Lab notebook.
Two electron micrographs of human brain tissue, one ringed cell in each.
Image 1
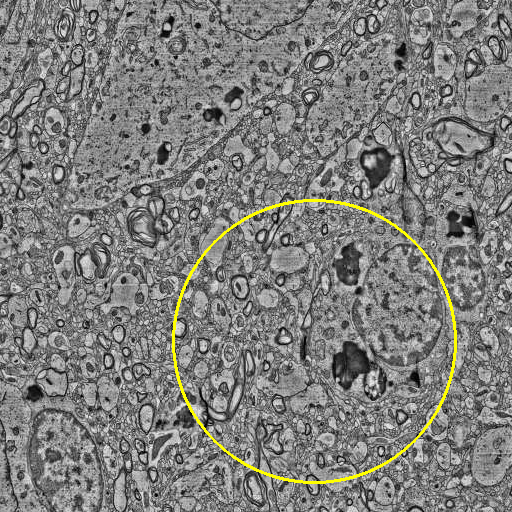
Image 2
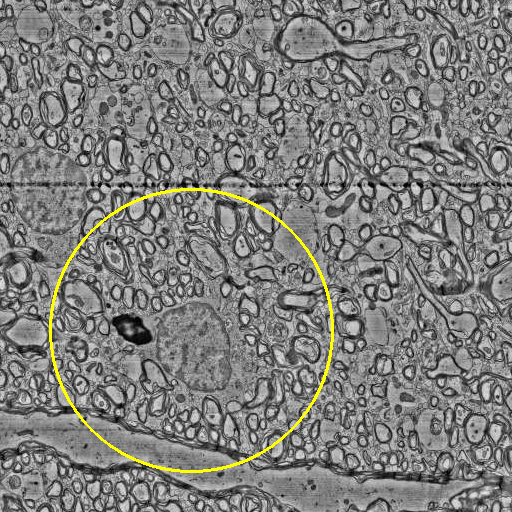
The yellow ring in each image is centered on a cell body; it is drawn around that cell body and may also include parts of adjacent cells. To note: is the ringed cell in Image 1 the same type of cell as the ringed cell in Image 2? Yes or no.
yes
